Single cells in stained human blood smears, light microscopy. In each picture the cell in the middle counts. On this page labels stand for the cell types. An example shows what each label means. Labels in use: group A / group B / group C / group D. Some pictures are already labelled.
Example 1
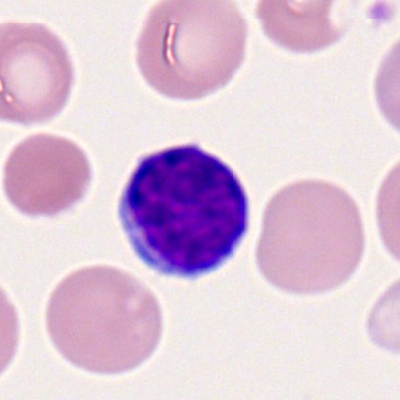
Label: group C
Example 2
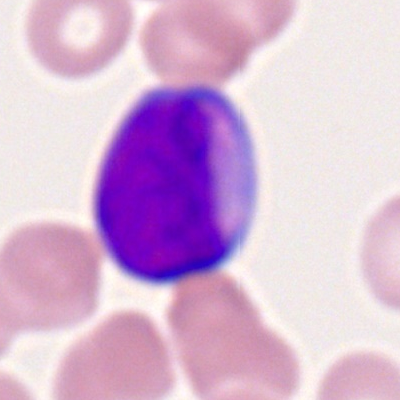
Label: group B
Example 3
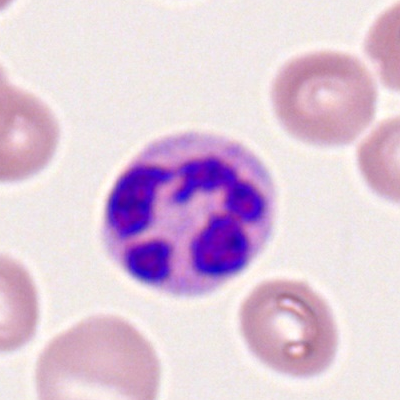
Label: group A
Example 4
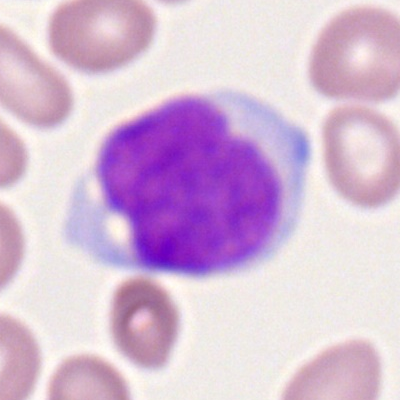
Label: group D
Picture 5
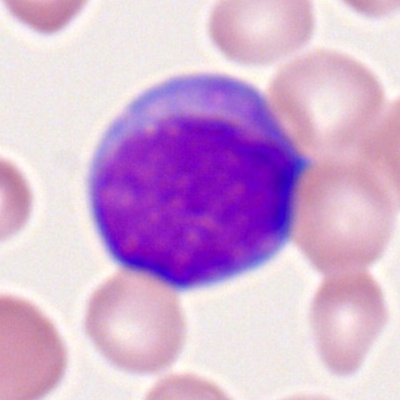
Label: group B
